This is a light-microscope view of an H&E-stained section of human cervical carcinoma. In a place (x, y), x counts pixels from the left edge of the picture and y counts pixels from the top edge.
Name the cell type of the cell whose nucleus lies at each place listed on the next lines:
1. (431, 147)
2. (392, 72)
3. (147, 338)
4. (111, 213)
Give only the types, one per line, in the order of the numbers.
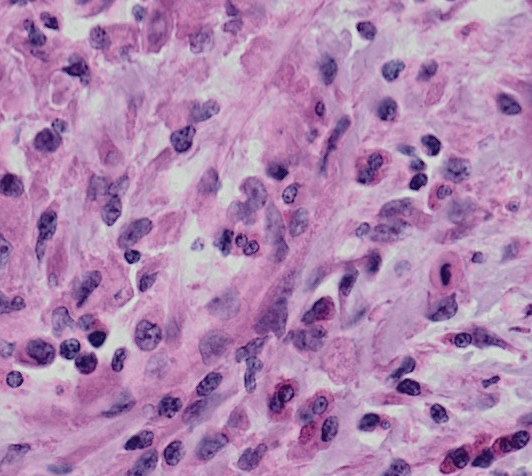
lymphocyte
lymphocyte
macrophage or monocyte
macrophage or monocyte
